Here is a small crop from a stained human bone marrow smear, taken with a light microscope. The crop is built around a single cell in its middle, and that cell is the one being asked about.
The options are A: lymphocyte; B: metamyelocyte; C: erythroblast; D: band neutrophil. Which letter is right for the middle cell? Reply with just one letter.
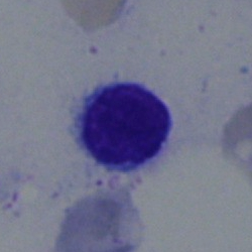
A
